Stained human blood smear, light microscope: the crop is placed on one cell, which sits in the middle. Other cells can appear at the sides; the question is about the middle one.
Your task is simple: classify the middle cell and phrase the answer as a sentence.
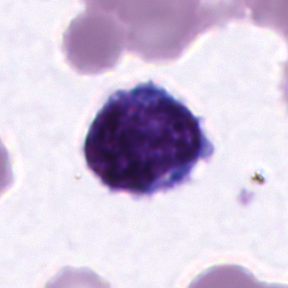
In the centre of this crop there is a plasma cell.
